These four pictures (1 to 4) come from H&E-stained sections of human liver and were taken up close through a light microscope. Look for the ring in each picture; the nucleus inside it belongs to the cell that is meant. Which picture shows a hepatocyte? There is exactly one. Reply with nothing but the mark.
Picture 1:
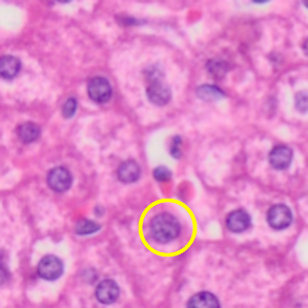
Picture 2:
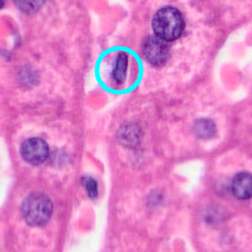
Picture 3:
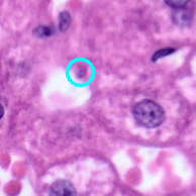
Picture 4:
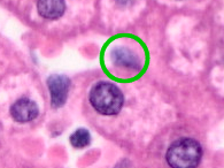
1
